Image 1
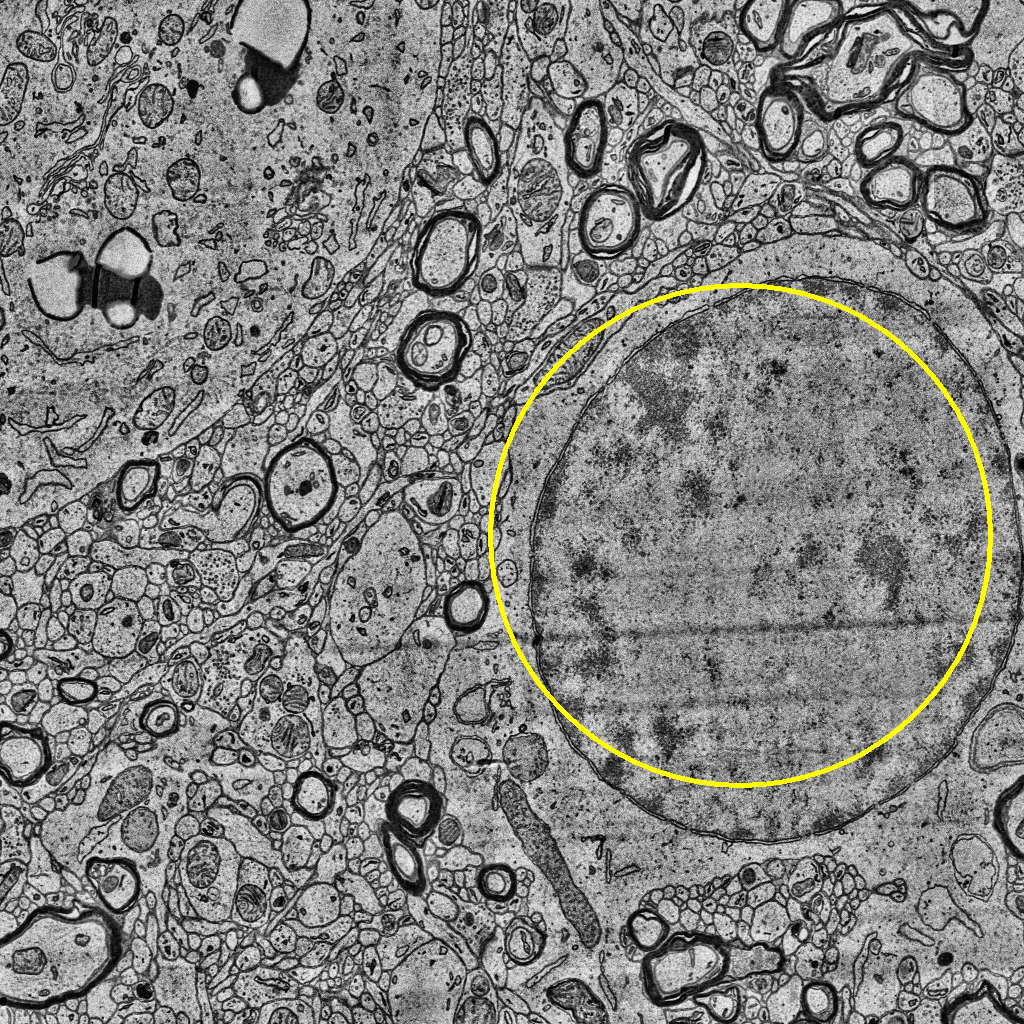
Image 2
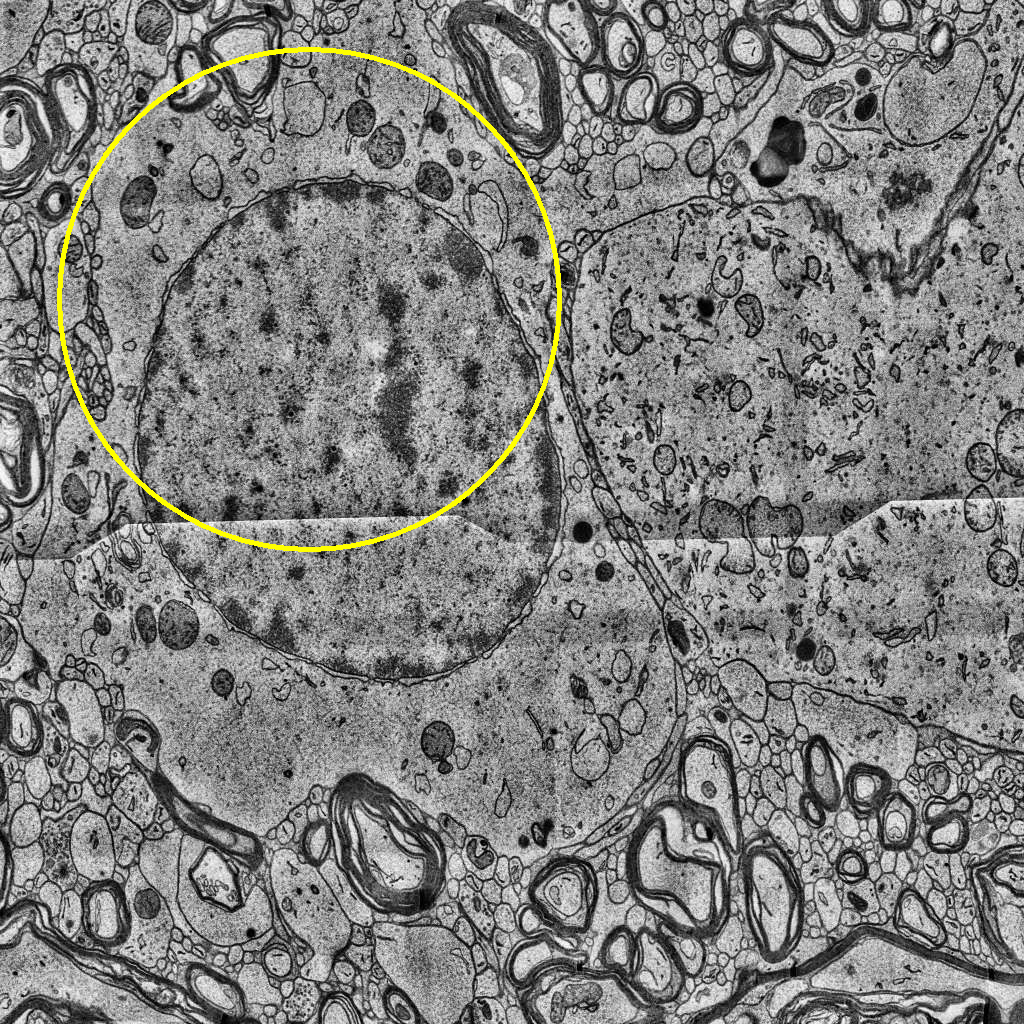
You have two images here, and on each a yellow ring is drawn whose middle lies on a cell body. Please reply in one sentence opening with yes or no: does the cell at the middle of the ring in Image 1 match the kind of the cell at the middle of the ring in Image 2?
Yes, the two images show cells of one kind at the centres of their rings.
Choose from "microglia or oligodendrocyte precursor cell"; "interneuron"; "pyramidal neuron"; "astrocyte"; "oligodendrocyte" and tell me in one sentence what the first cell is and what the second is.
Both cells are the same kind, each one being an astrocyte.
